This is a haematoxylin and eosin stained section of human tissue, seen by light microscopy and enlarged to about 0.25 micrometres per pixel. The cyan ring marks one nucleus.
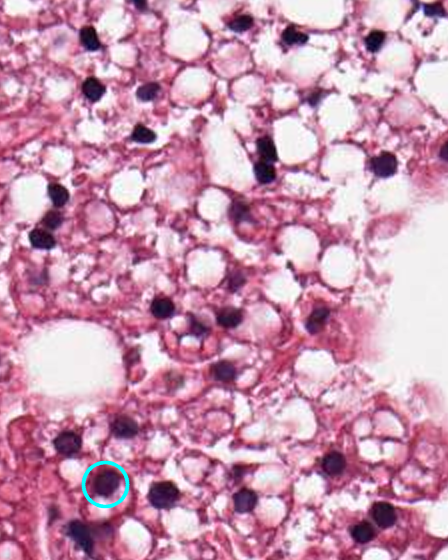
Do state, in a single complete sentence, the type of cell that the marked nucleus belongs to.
The marked nucleus is the nucleus of an adrenal cortical cell.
